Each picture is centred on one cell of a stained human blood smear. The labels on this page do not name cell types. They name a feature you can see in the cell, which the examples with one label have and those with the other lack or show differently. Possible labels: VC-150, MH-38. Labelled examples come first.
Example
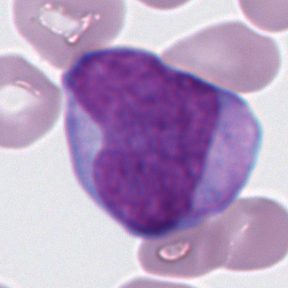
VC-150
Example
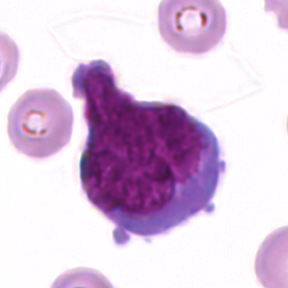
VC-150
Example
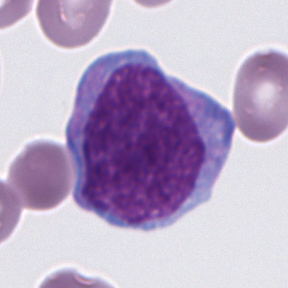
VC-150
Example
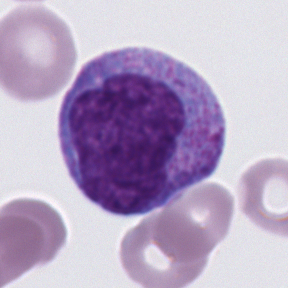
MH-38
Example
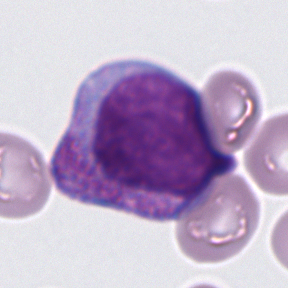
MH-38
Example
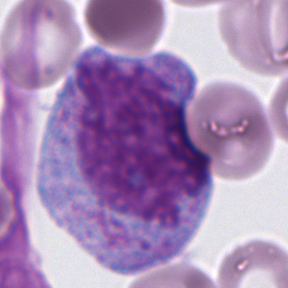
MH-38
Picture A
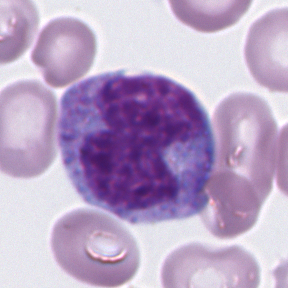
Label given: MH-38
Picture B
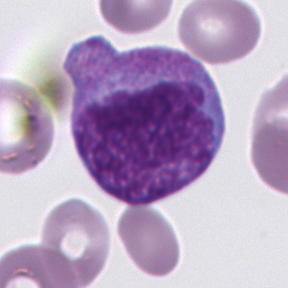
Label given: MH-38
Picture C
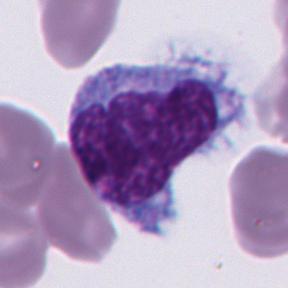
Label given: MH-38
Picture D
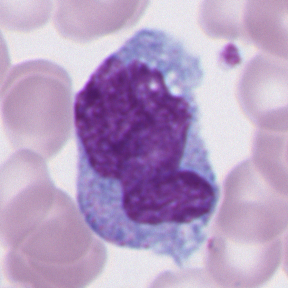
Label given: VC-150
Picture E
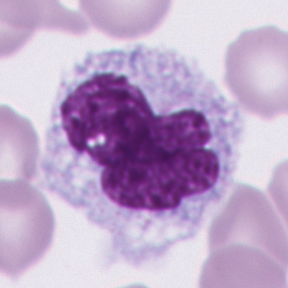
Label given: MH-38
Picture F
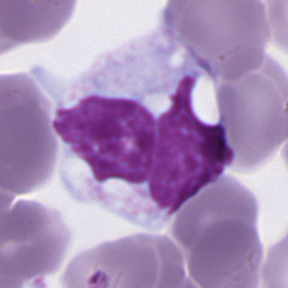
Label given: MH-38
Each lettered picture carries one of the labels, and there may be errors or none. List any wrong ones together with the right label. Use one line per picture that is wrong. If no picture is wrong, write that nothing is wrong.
C: not MH-38 but VC-150
D: not VC-150 but MH-38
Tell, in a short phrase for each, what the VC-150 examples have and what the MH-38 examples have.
VC-150, no visible granules; MH-38, many visible granules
